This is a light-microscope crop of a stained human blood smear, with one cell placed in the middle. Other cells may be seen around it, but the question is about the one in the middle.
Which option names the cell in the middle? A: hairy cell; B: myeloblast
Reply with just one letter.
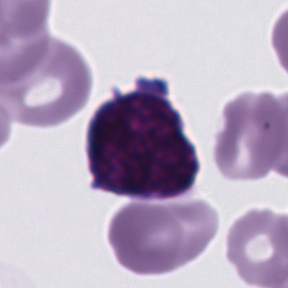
B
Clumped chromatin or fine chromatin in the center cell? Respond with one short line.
One feature to record is coarsely clumped chromatin.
